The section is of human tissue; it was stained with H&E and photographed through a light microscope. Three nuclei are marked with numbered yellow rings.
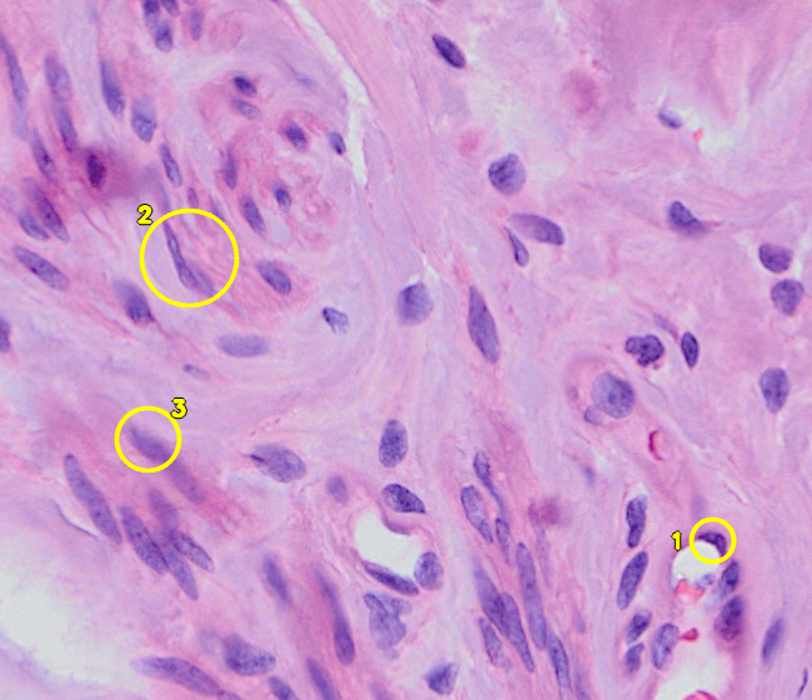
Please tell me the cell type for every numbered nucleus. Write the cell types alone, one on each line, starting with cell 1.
endothelial cell
smooth muscle cell
smooth muscle cell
